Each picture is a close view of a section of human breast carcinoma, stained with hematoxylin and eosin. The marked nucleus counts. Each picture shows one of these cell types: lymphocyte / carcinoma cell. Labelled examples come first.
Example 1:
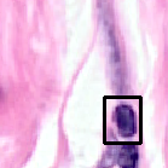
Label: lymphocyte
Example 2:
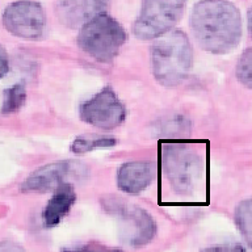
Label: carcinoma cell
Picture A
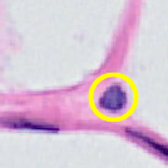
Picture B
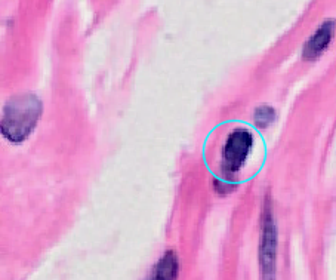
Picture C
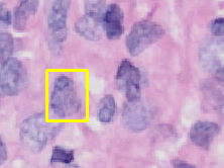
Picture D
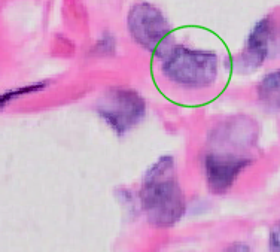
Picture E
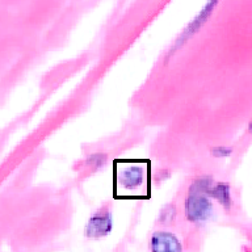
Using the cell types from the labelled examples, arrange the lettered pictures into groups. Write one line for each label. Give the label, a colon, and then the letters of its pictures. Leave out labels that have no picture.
lymphocyte: A, B, E
carcinoma cell: C, D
